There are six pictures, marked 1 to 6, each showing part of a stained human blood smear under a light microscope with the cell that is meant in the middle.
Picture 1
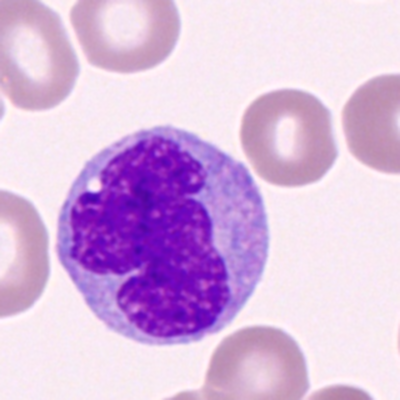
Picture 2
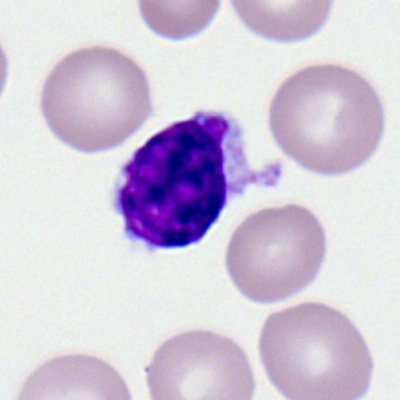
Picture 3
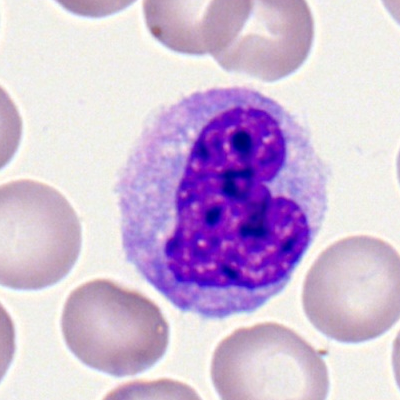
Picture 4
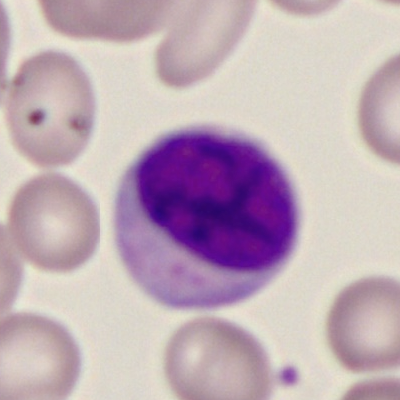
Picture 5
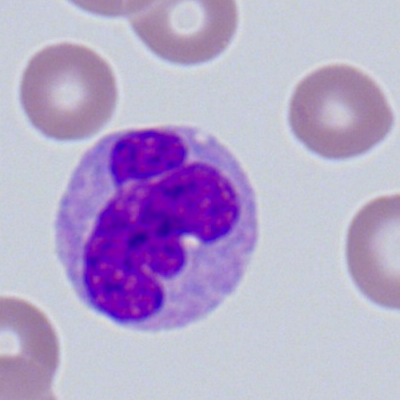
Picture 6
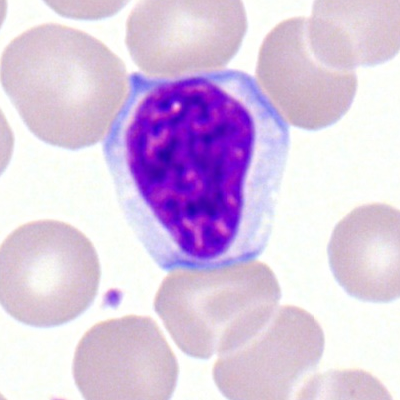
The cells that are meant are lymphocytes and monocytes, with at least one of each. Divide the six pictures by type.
1: monocyte
2: lymphocyte
3: monocyte
4: lymphocyte
5: monocyte
6: lymphocyte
